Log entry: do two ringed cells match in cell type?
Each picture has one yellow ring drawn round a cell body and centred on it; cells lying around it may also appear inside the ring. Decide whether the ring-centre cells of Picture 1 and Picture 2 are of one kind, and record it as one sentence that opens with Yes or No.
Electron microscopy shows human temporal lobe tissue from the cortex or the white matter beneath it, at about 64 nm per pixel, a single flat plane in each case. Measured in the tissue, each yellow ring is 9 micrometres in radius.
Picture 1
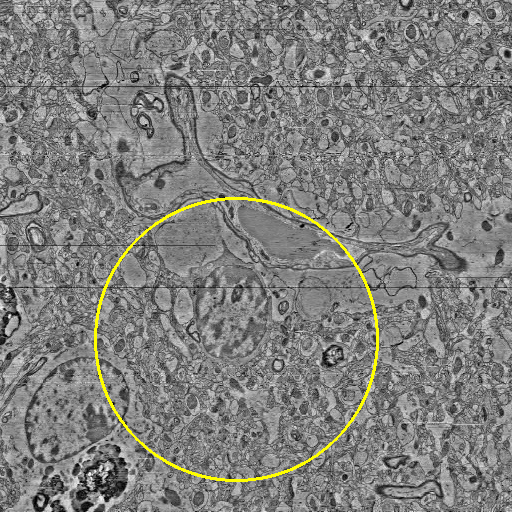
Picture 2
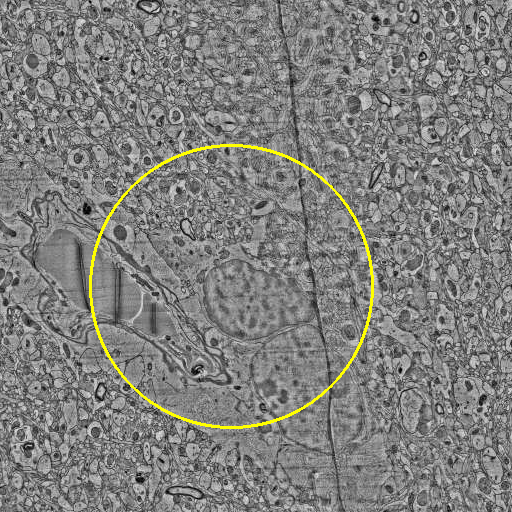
Yes, the cells at the ring centres of the two pictures belong to one kind.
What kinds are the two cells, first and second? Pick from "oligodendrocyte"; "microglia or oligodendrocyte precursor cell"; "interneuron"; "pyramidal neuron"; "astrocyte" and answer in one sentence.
Both pictures show an oligodendrocyte at the centre of the ring.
